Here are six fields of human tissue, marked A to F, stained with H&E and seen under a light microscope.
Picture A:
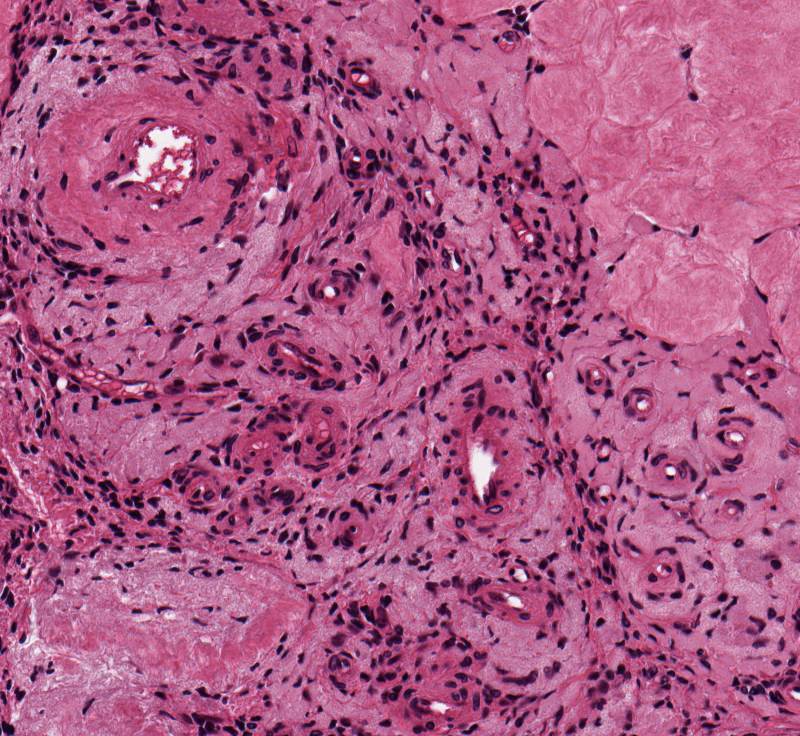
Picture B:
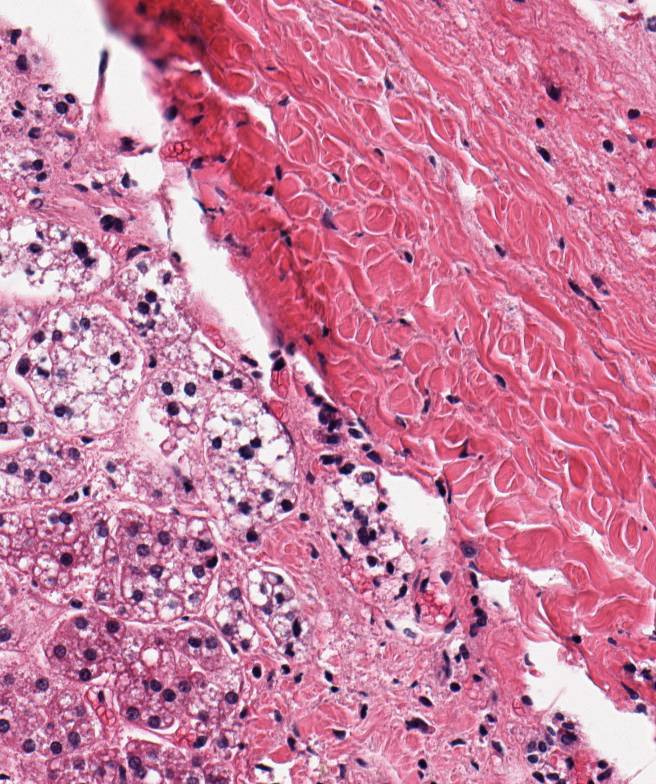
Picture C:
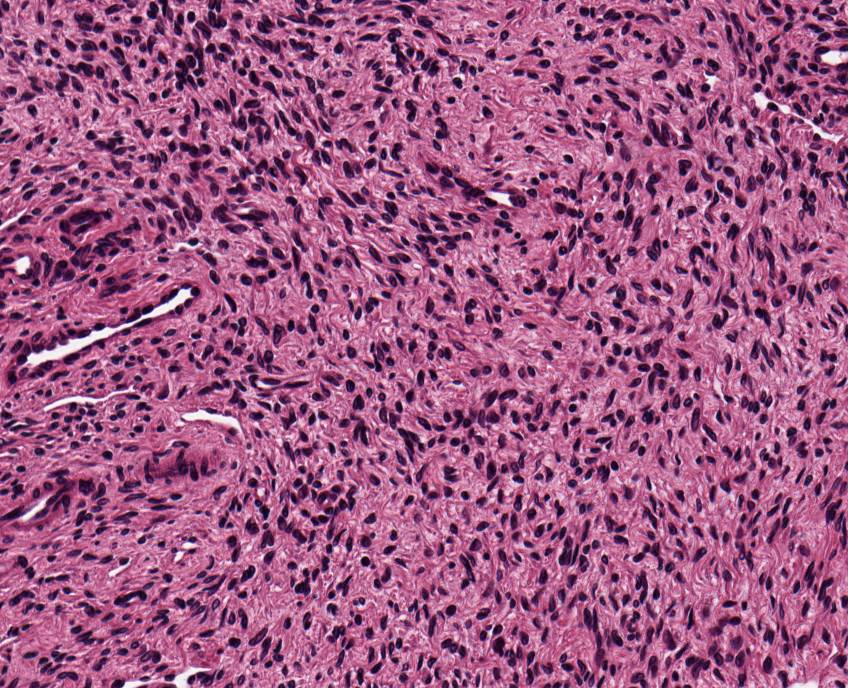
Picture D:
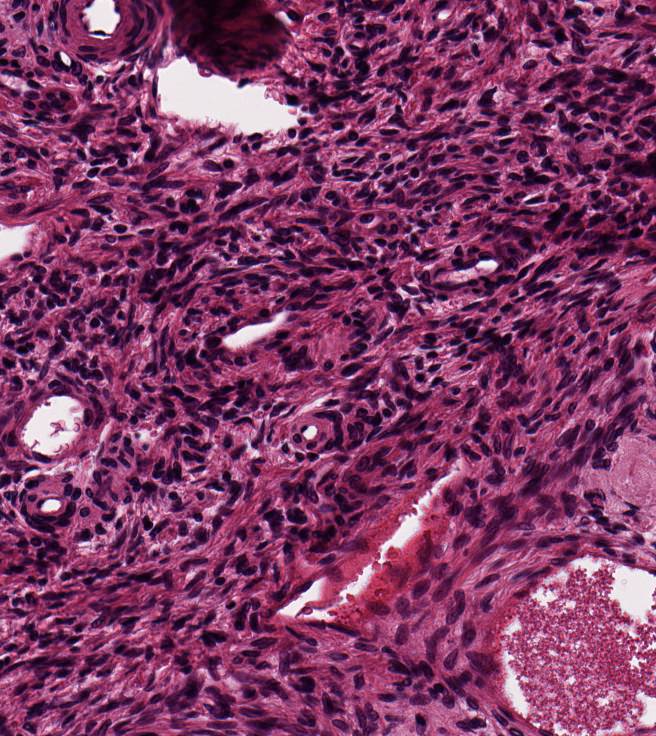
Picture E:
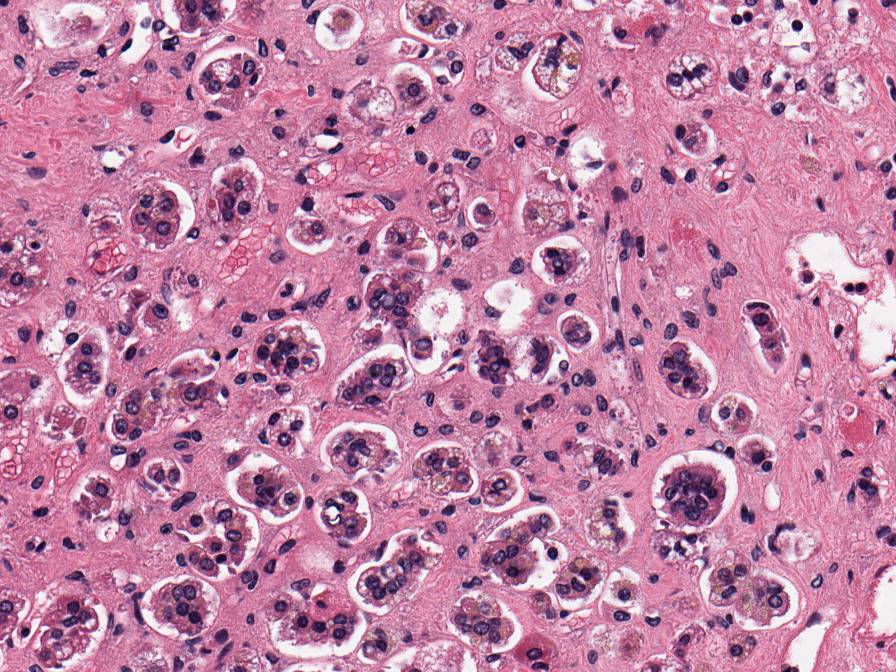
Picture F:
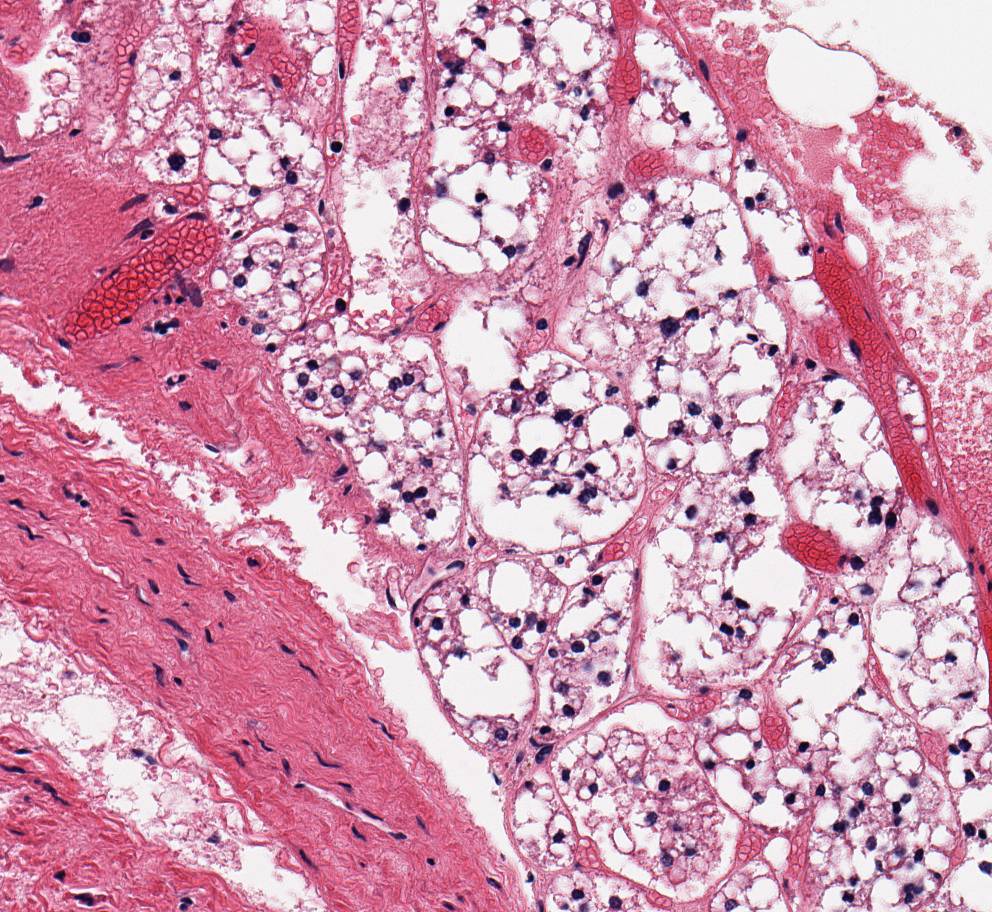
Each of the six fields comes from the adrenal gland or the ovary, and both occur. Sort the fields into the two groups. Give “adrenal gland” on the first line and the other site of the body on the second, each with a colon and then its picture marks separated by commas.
adrenal gland: B, E, F
ovary: A, C, D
